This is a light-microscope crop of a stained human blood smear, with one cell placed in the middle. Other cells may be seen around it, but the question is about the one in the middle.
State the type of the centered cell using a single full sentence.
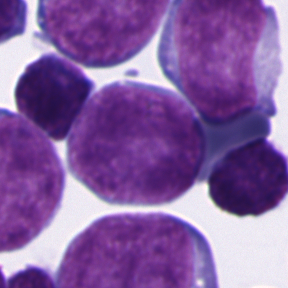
By type, the central cell of the crop is a myeloblast.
